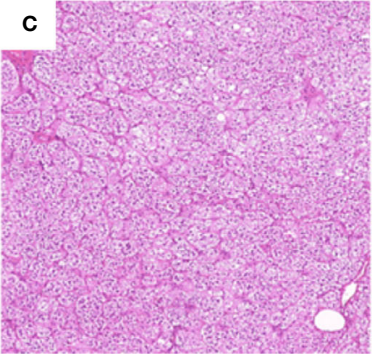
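The cells are grouped into nests and short cords outlined by thin pink strands of connective tissue with small vessels. The cells have pale, clear to lightly pink cytoplasm and small dark nuclei spread evenly across the field. The pattern is regular throughout, without areas of dead tissue.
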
